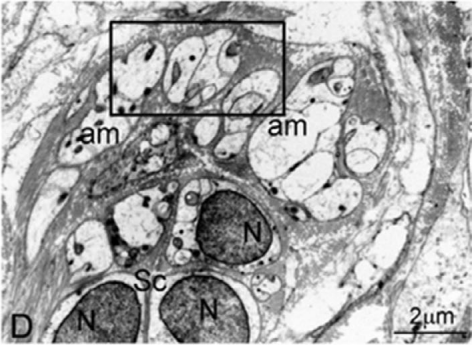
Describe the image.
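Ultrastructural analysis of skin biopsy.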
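A small nerve bundle in the dermis is seen in cross section, with Schwann cells and the unmyelinated axons they enclose. Several Schwann cell nuclei with dense chromatin lie at the lower part of the bundle. Above them, thin sleeves of Schwann cell cytoplasm wrap numerous axons that lack myelin sheaths. Many axons are enlarged and rounded, with pale, almost empty content and a few scattered dark bodies, so that the bundle looks swollen and vacuolated.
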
